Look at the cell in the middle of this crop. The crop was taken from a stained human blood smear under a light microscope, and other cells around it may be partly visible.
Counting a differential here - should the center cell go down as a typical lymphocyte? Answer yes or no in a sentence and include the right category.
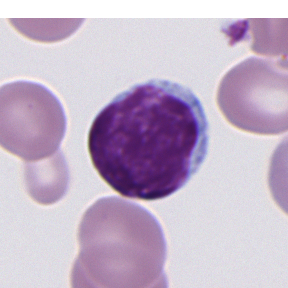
Yes, the cell in the middle has the identity of a typical lymphocyte.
